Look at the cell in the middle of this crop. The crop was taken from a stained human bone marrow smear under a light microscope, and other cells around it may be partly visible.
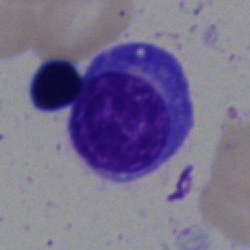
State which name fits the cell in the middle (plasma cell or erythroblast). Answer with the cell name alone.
plasma cell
